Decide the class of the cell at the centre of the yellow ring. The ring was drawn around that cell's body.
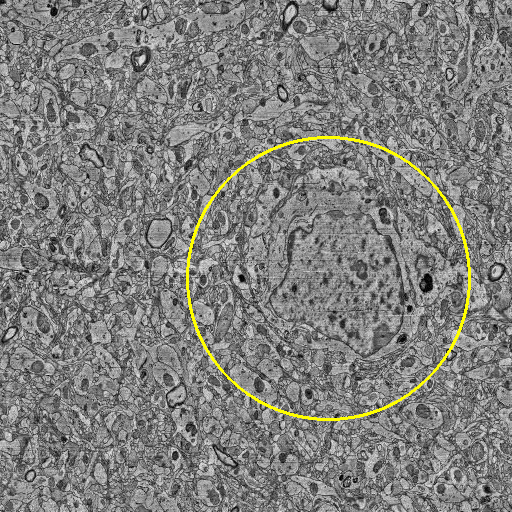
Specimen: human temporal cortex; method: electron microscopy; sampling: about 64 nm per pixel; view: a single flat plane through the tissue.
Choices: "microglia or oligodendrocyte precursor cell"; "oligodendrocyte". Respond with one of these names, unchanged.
microglia or oligodendrocyte precursor cell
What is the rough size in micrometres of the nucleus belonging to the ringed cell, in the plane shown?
Roughly 10 by 8 micrometres in this plane, for the nucleus of the ringed cell.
